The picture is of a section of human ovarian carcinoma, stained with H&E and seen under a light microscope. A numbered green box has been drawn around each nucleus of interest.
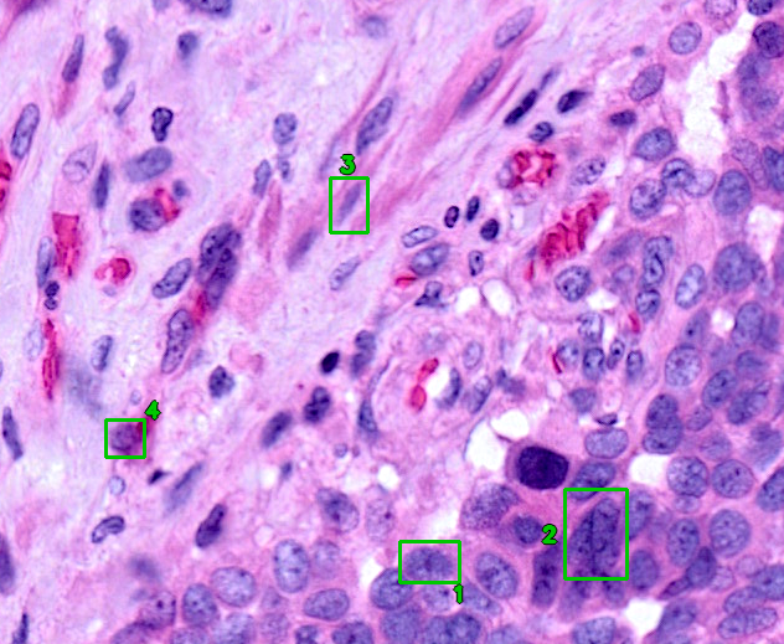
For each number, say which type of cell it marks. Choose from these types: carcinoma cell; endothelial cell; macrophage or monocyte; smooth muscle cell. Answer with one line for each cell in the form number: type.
1: carcinoma cell
2: carcinoma cell
3: smooth muscle cell
4: endothelial cell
